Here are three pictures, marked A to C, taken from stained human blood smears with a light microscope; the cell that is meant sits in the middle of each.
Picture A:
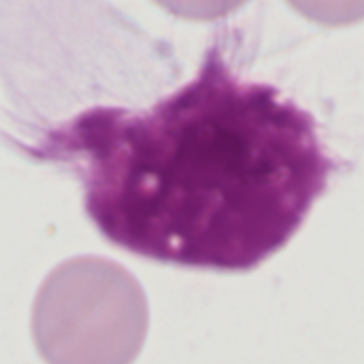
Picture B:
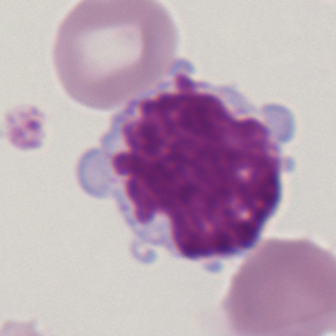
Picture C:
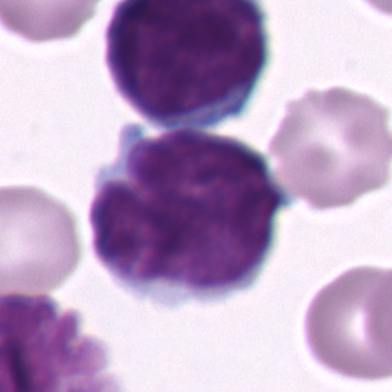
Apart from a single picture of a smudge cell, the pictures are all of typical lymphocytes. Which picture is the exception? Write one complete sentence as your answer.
It is picture A that shows the smudge cell.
